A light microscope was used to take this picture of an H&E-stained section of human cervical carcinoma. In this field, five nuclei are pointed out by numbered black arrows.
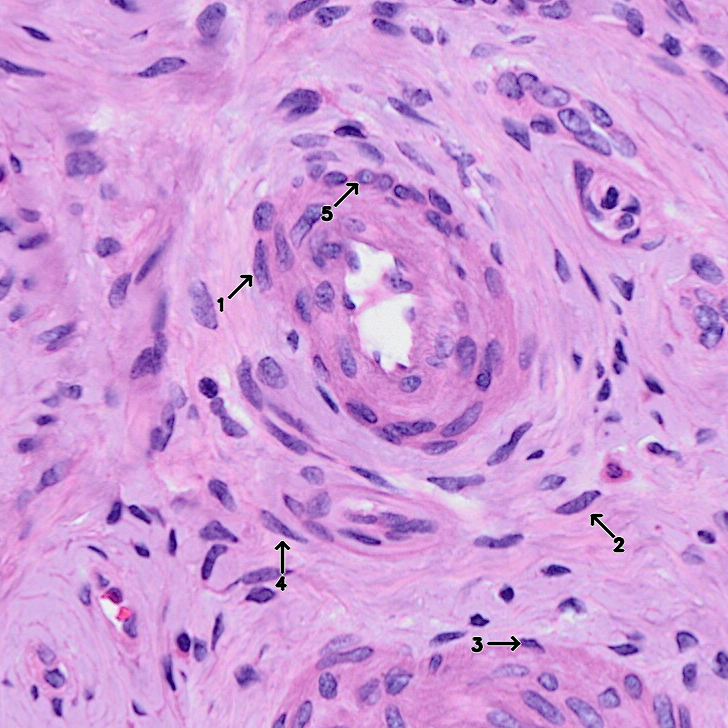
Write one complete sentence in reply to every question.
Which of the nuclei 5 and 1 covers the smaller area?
With nucleus 1 about 3 times its size, nucleus 5 is the smaller of the two.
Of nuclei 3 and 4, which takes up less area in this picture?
Nucleus 3 is the smaller one; nucleus 4 covers about 3 times its area.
